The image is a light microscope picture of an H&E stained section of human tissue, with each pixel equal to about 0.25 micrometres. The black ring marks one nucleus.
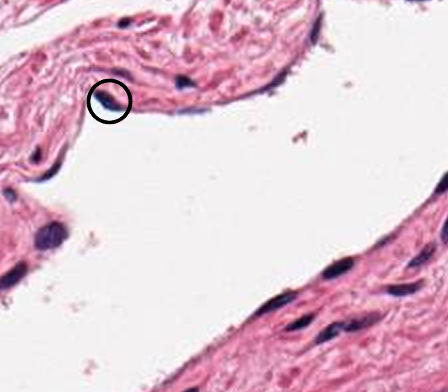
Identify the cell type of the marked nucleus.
endothelial cell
